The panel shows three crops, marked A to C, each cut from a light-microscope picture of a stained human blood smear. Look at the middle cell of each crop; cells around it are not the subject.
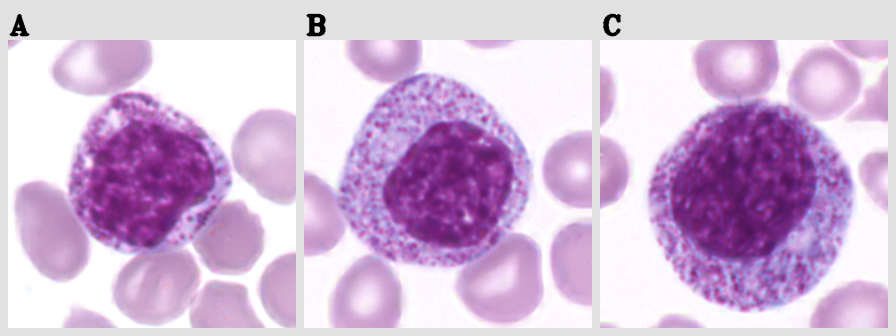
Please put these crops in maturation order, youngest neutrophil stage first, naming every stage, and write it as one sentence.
It is in the order crop C (a promyelocyte), crop B (a myelocyte) and crop A (a metamyelocyte) that maturity increases.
